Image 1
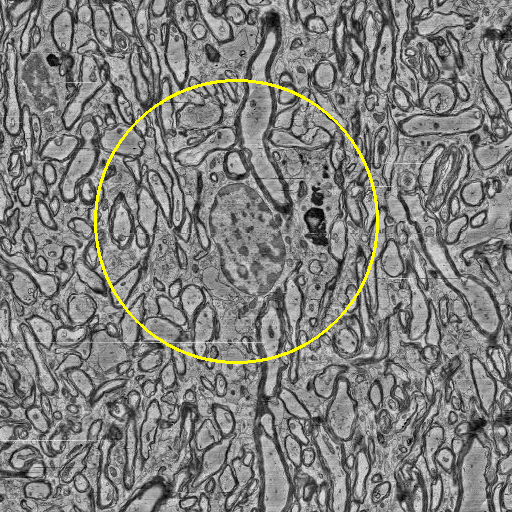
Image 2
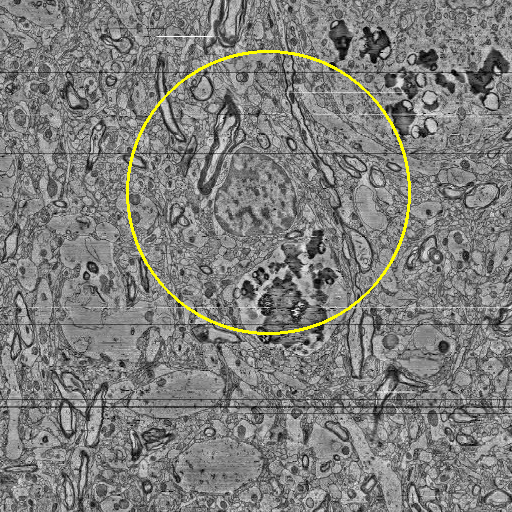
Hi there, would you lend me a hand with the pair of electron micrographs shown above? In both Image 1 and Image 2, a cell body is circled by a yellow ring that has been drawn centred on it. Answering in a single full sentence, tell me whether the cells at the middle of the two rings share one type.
Yes, the ringed cells in Image 1 and Image 2 share one type.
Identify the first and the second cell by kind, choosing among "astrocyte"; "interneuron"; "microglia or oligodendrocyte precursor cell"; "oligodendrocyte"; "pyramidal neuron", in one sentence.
Both cells are the same kind, each one being a microglial cell or oligodendrocyte precursor cell.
